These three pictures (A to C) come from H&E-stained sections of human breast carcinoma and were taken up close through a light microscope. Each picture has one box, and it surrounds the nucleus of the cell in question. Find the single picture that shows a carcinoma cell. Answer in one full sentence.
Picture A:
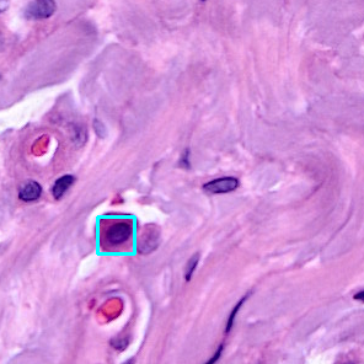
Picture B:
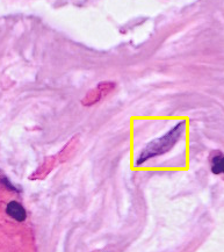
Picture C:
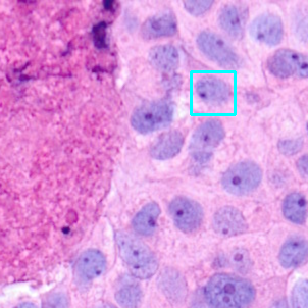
The carcinoma cell is the one in picture C.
